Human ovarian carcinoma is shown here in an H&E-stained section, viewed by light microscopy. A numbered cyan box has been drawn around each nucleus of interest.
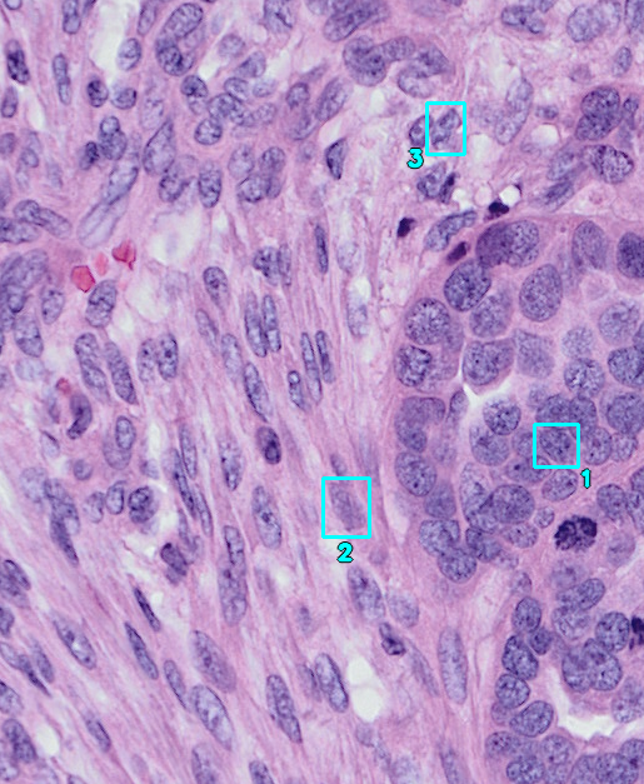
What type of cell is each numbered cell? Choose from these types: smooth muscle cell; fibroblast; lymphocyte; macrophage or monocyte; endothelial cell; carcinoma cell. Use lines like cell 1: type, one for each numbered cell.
cell 1: carcinoma cell
cell 2: fibroblast
cell 3: fibroblast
